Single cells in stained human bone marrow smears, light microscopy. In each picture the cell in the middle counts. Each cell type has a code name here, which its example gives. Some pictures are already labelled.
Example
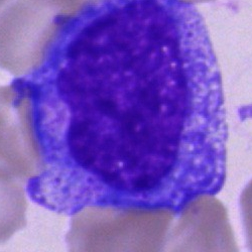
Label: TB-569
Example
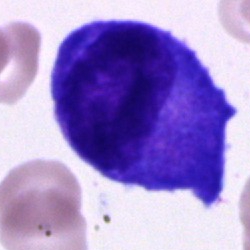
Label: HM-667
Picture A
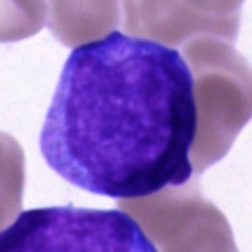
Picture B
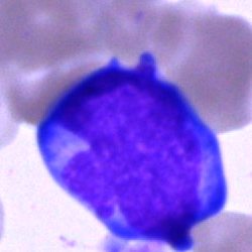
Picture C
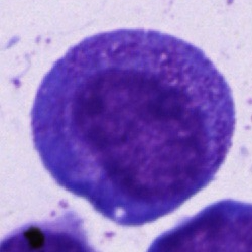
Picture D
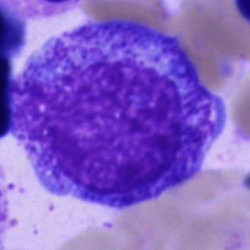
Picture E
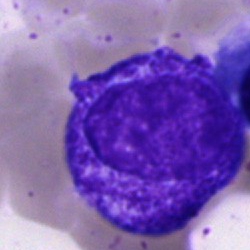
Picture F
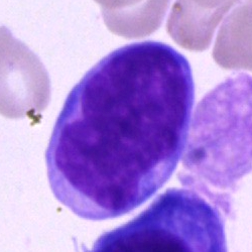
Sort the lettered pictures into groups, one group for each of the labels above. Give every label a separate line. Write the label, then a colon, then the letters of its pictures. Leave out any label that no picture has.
TB-569: C, D, E
HM-667: A, B, F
